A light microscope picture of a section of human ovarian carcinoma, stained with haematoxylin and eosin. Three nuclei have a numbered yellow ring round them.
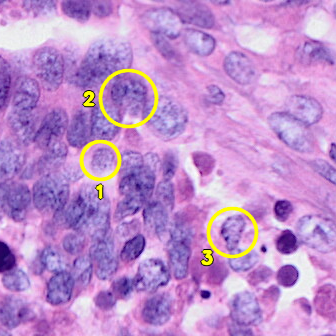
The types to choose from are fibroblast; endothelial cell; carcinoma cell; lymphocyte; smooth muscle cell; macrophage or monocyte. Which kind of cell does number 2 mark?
carcinoma cell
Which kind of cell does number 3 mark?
macrophage or monocyte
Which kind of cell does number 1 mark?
carcinoma cell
